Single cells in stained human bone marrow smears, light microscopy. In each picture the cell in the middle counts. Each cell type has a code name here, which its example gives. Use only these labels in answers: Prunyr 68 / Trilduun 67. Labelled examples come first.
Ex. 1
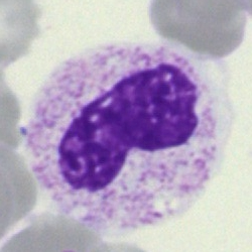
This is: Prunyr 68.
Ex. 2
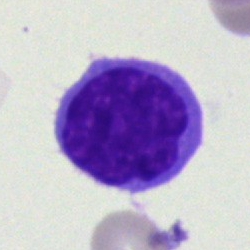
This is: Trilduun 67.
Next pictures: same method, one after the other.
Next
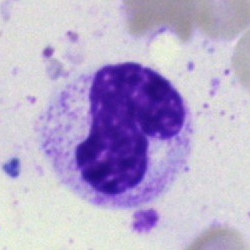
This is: Prunyr 68.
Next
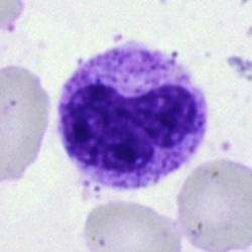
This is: Prunyr 68.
